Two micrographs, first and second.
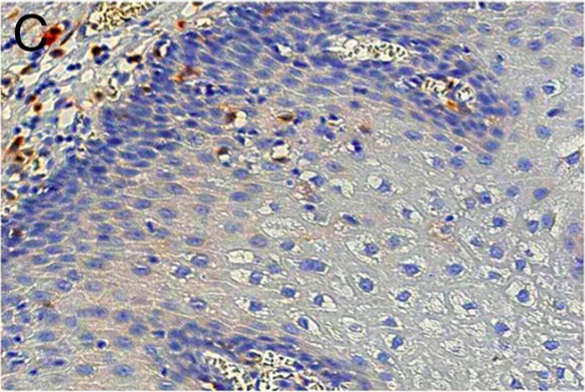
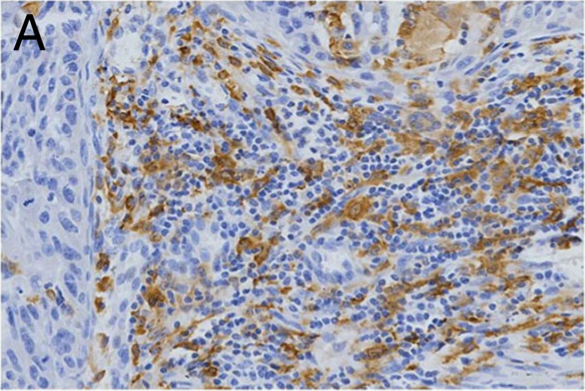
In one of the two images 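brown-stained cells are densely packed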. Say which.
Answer: The second image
